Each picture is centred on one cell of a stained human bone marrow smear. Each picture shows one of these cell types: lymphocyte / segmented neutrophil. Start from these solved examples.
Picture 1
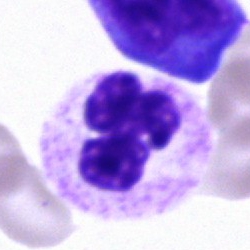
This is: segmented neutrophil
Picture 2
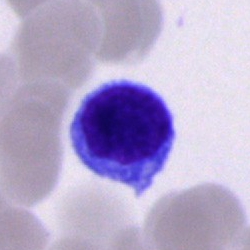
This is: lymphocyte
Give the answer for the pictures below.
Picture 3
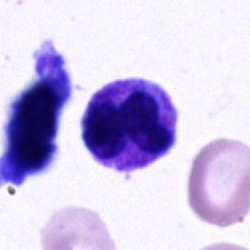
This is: segmented neutrophil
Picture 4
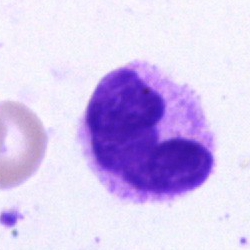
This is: segmented neutrophil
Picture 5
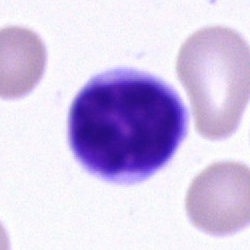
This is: lymphocyte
